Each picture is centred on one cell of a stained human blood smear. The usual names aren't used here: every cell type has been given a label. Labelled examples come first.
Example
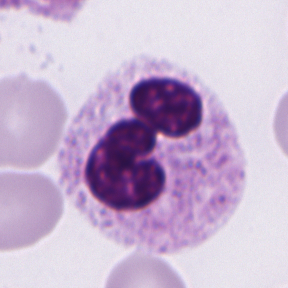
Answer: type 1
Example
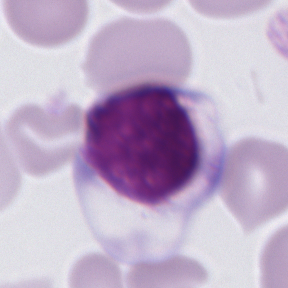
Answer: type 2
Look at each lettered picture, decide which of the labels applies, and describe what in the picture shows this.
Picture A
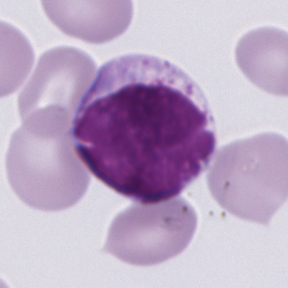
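type 2: The cytoplasm is scant and forms its widest band above the nucleus.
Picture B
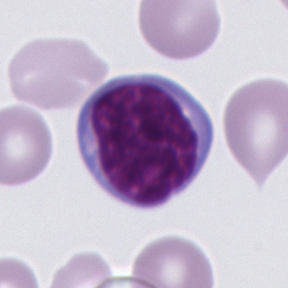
type 2: The cytoplasm forms a narrow pale blue rim around the nucleus.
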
